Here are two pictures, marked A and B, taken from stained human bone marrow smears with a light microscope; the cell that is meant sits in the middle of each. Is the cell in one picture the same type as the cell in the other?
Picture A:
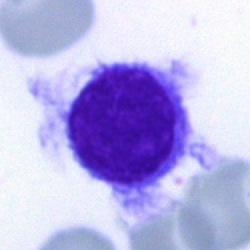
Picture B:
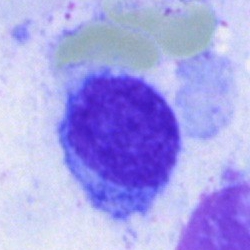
yes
